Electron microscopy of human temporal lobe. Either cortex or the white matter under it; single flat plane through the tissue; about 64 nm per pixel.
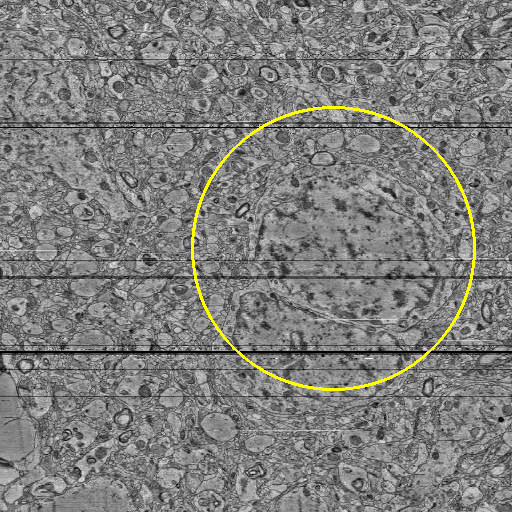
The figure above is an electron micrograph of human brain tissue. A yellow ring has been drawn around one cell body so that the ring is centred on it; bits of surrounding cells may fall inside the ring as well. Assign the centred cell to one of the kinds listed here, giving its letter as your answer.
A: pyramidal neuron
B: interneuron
B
